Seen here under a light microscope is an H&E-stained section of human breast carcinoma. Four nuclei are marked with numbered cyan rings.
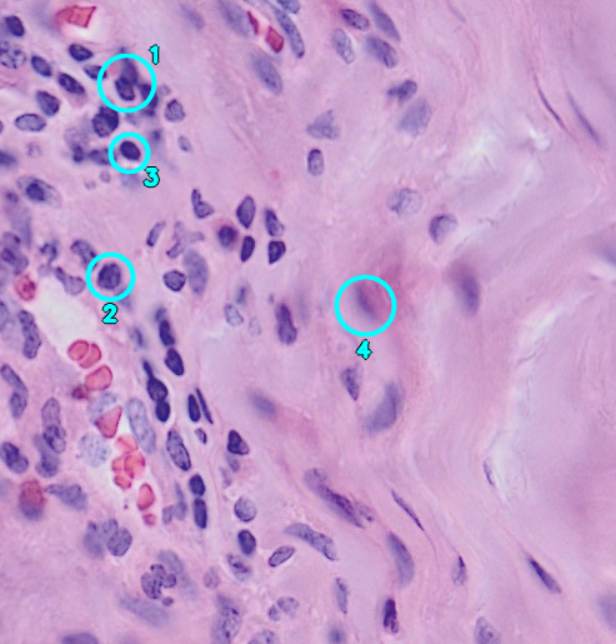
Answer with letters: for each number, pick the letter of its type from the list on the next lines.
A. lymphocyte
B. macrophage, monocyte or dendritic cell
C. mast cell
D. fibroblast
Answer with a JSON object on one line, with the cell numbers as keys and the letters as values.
{"1": "A", "2": "A", "3": "A", "4": "D"}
